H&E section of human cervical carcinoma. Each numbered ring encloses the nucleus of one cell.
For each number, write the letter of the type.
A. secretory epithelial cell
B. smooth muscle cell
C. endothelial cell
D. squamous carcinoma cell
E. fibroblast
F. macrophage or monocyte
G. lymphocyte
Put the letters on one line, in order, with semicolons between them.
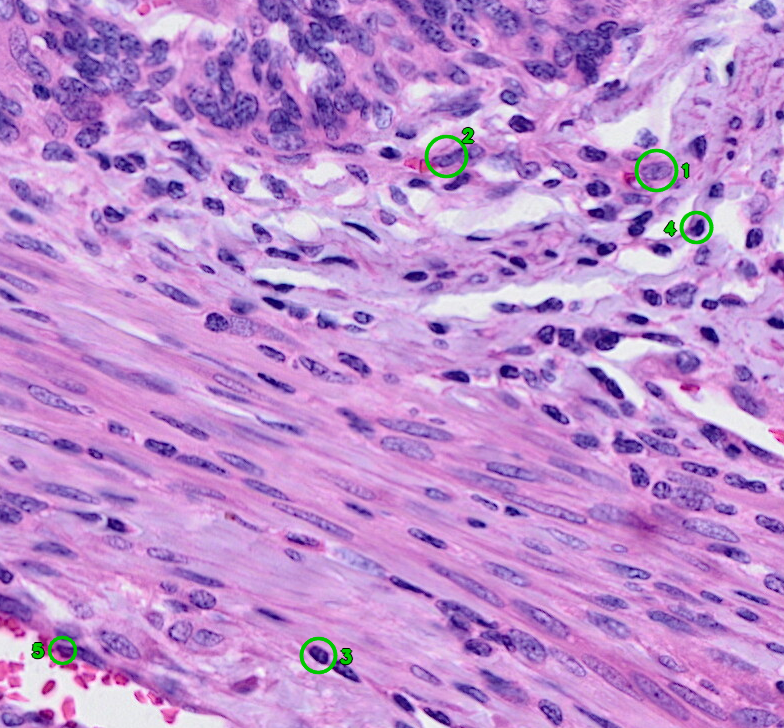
C; C; G; G; C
